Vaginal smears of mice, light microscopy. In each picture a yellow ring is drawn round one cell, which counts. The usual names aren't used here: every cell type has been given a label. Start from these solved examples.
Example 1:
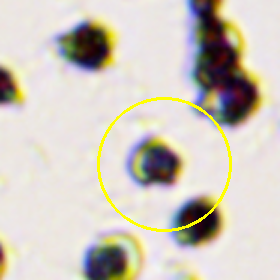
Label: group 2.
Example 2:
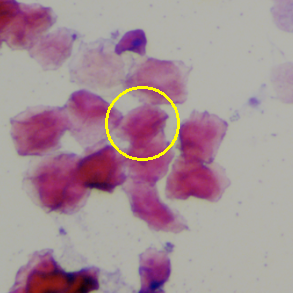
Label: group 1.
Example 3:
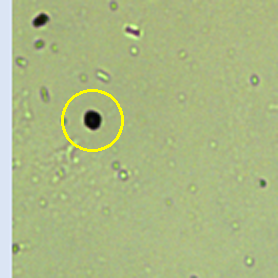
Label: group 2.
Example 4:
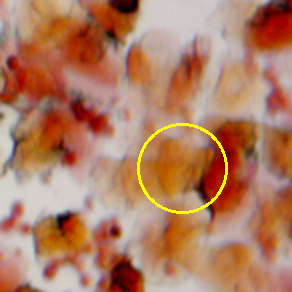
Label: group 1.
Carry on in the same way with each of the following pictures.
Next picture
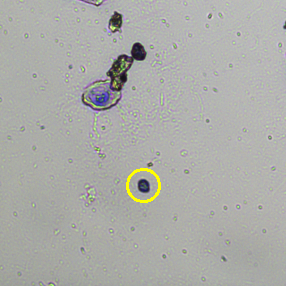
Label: group 2.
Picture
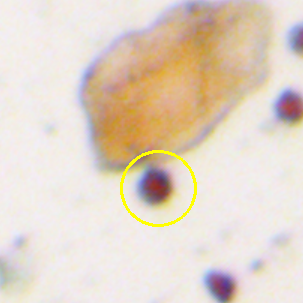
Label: group 2.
